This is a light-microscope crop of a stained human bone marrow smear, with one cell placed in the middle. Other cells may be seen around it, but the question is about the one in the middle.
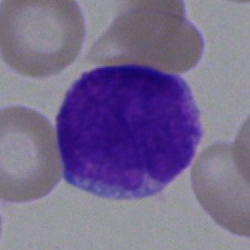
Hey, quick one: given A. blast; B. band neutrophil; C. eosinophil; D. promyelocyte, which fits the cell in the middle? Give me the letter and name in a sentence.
That the central cell is a blast makes option A correct.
